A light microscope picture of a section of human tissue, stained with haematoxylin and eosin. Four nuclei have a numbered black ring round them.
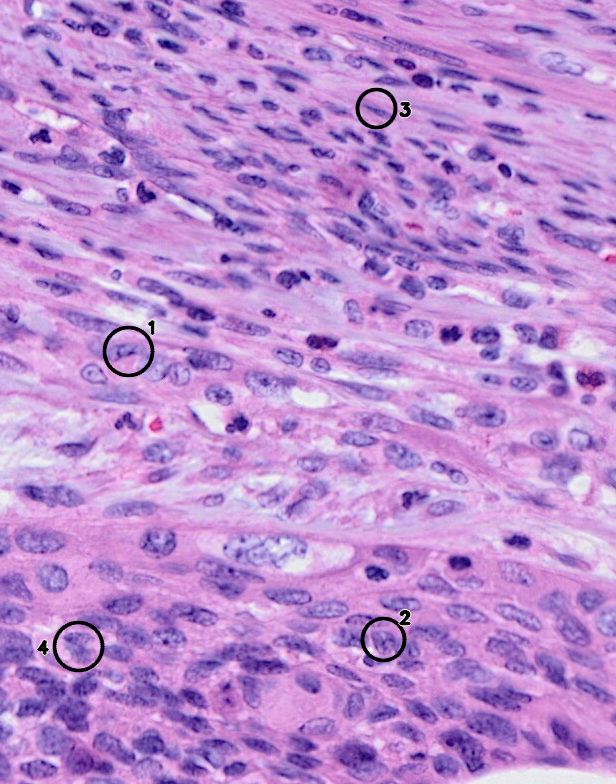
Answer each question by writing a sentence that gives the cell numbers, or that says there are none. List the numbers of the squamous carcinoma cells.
The cells with labels 2 and 4 are squamous carcinoma cells.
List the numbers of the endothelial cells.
Being an endothelial cell is true of cell 1 and of no other numbered cell.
